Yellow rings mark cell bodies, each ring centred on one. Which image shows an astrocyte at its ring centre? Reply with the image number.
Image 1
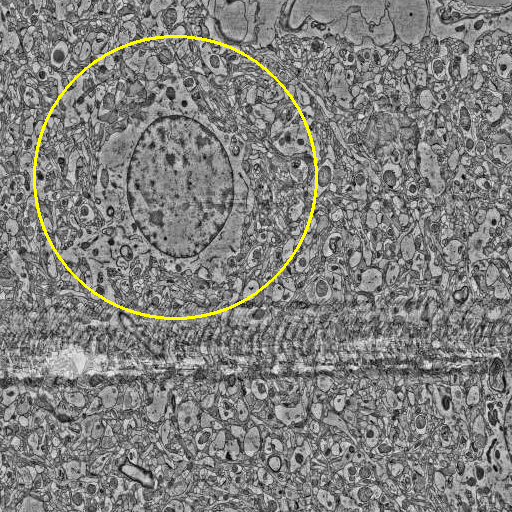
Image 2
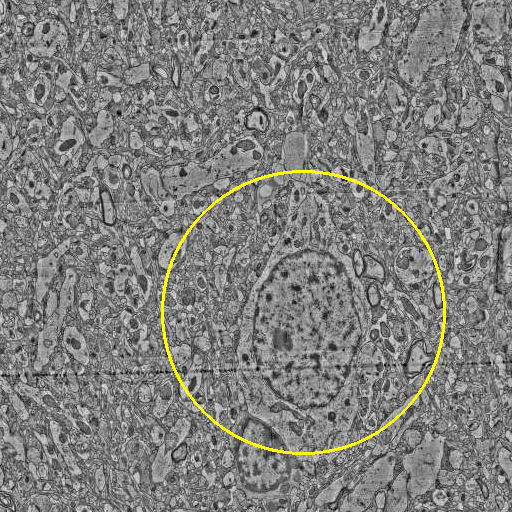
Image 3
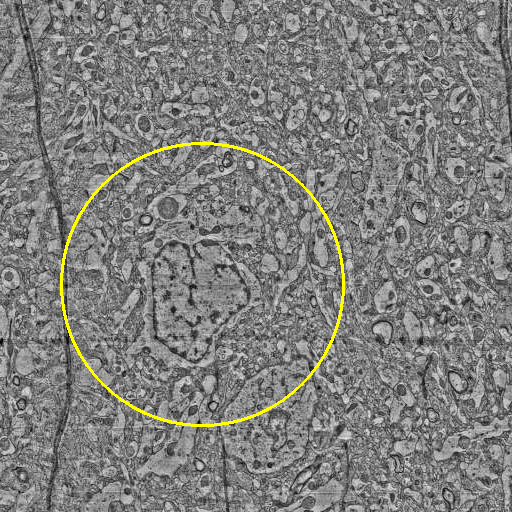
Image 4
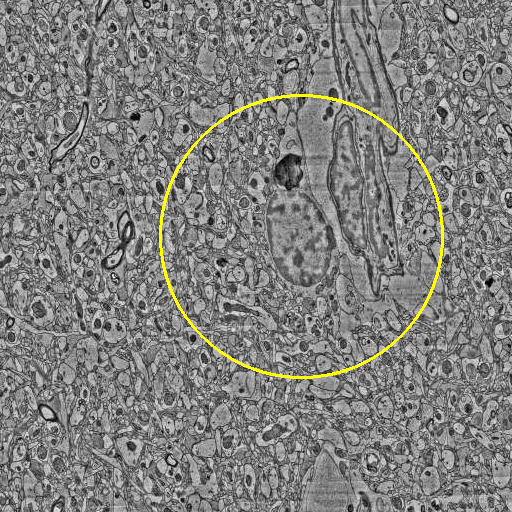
1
